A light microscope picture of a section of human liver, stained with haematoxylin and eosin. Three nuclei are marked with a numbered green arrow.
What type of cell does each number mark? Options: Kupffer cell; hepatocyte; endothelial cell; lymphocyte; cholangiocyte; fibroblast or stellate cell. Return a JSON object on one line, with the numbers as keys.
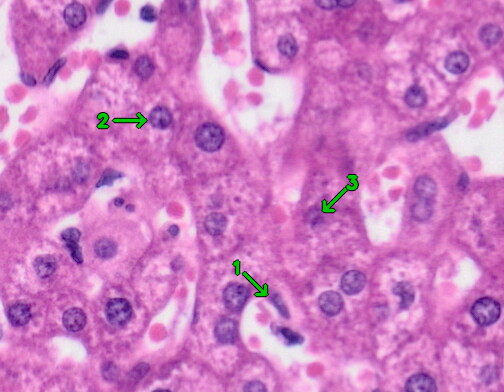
{"1": "Kupffer cell", "2": "hepatocyte", "3": "hepatocyte"}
